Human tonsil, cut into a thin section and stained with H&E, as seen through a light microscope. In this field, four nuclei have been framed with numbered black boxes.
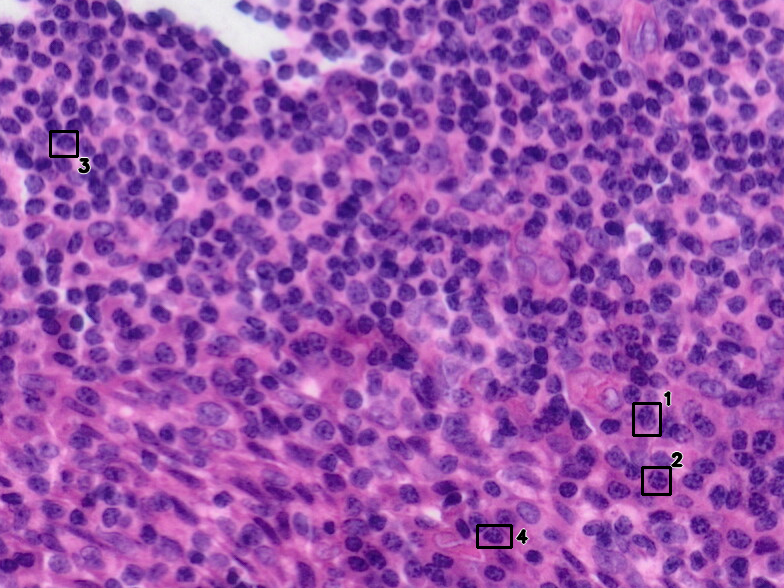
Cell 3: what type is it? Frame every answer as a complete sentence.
Recognised here as a small lymphocyte is the cell numbered 3.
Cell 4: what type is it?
The cell to which the number 4 is assigned is a plasma cell.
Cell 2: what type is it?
Identified by the number 2, the cell is a plasma cell.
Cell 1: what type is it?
The cell carrying label 1 is identified as a plasma cell.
